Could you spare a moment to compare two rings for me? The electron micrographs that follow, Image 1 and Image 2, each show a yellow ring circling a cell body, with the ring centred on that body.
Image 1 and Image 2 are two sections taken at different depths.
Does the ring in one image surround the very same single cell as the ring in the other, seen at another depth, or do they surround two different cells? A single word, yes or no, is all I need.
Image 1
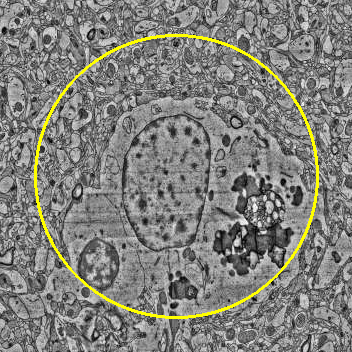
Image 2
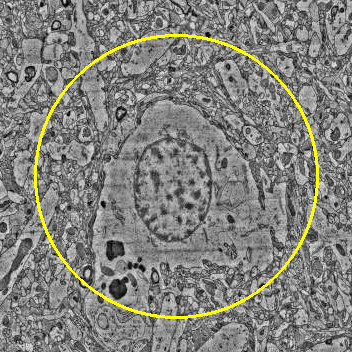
no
